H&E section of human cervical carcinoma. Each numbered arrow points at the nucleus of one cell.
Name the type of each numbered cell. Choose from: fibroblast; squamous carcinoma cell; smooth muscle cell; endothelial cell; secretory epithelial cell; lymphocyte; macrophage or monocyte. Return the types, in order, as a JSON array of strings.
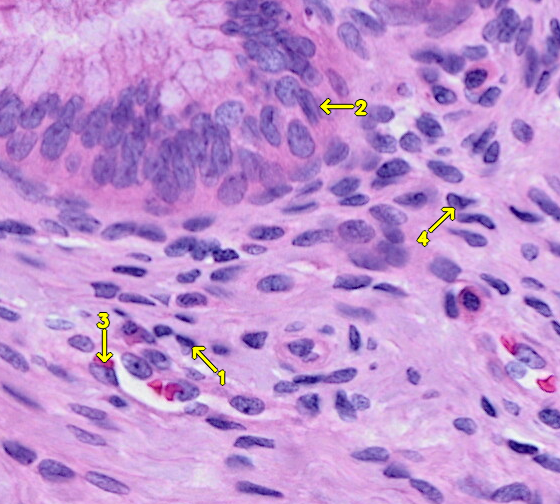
["fibroblast", "secretory epithelial cell", "endothelial cell", "fibroblast"]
